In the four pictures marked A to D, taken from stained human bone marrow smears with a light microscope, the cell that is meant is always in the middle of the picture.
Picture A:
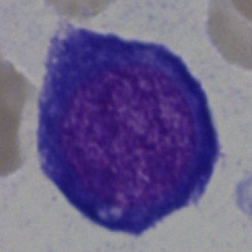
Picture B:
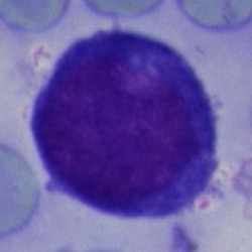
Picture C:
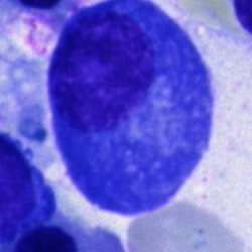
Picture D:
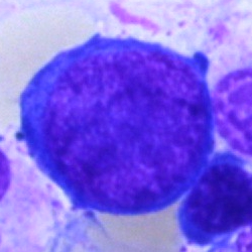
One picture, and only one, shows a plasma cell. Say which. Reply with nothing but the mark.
C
